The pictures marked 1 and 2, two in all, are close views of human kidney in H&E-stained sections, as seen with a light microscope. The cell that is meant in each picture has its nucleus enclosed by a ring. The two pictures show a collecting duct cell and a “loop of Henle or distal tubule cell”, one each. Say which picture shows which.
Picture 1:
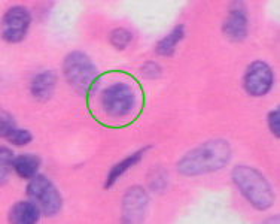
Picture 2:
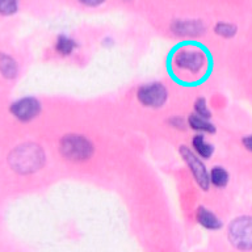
1: collecting duct cell
2: loop of Henle or distal tubule cell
